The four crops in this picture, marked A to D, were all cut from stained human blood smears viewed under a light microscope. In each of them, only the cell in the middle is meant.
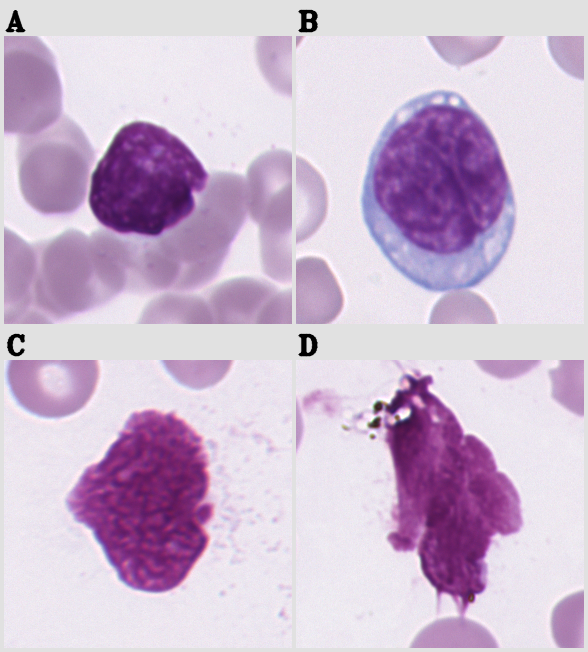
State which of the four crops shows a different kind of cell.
B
